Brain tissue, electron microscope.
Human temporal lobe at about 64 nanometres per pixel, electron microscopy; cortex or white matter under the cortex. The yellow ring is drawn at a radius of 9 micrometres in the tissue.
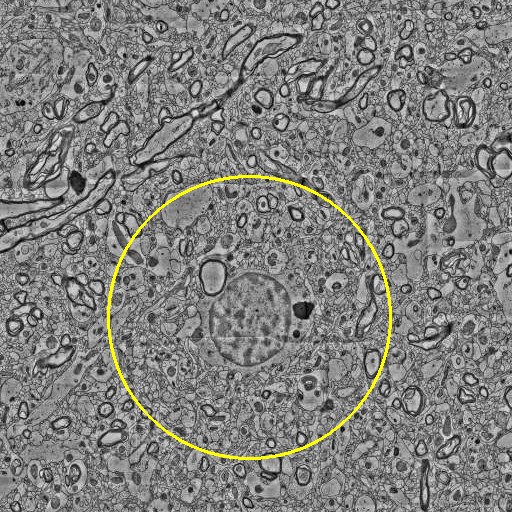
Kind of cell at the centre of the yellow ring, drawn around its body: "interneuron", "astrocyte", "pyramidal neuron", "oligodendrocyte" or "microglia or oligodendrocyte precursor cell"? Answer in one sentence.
The ring's centre falls on an oligodendrocyte.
